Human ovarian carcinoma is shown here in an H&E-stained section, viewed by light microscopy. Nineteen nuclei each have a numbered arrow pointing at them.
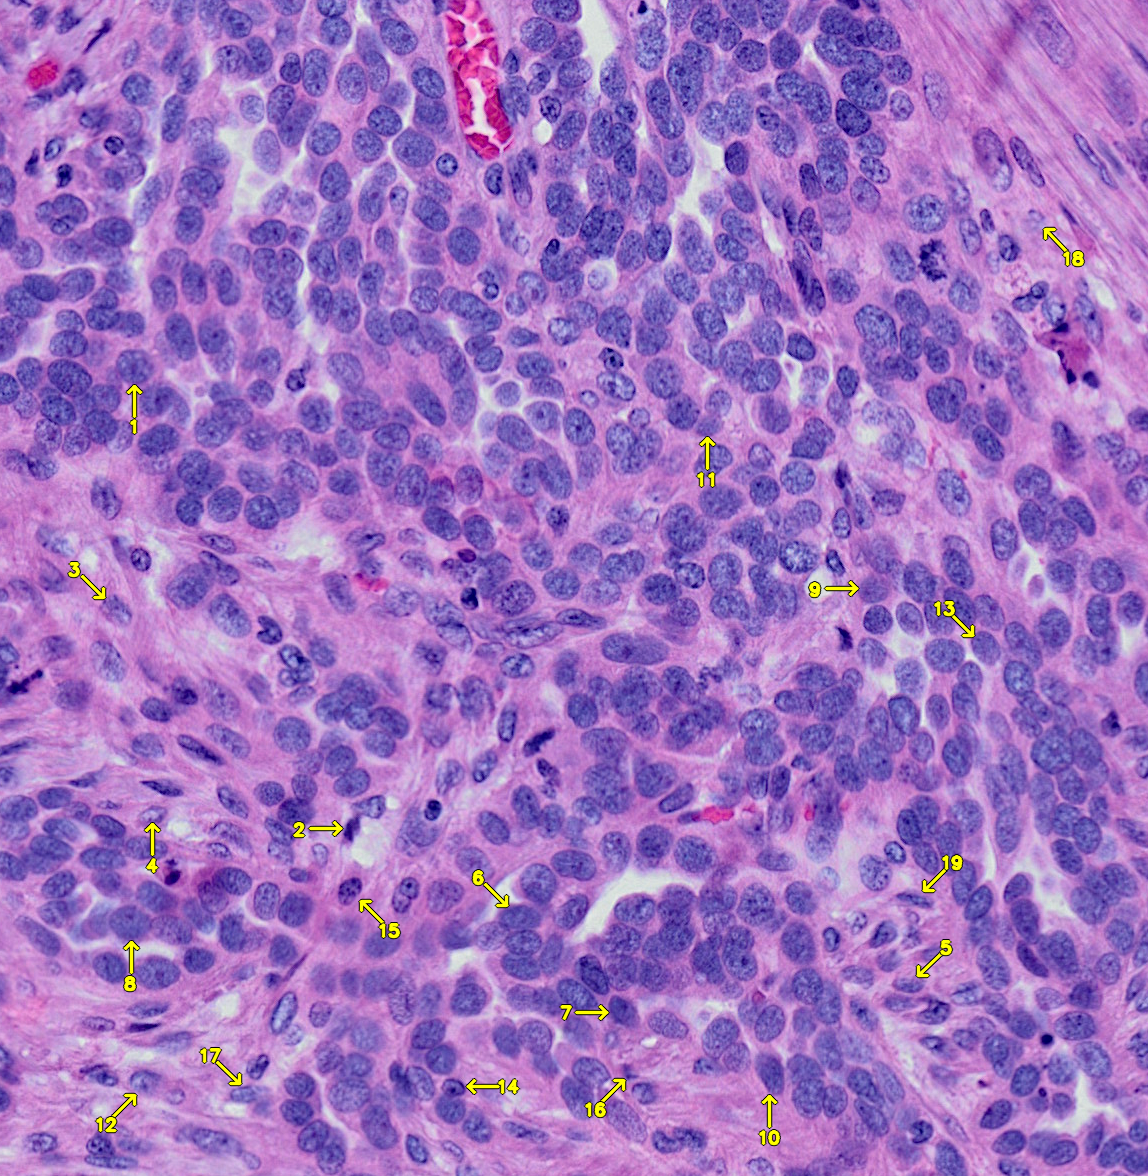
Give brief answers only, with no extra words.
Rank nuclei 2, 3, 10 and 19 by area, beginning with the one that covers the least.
2, 19, 3, 10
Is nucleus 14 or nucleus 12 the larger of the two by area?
12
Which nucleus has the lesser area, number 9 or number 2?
2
